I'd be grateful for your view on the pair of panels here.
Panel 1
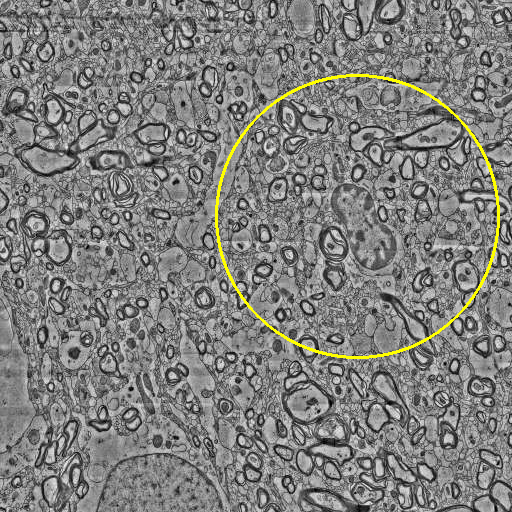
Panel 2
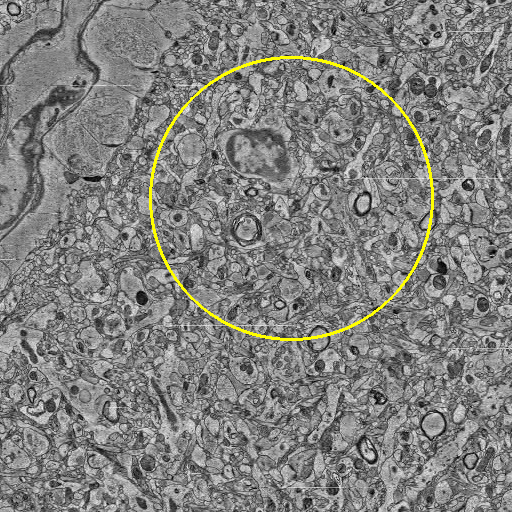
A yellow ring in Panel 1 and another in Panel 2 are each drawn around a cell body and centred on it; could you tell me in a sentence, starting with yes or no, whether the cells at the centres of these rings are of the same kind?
Yes, they are the same kind of cell.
